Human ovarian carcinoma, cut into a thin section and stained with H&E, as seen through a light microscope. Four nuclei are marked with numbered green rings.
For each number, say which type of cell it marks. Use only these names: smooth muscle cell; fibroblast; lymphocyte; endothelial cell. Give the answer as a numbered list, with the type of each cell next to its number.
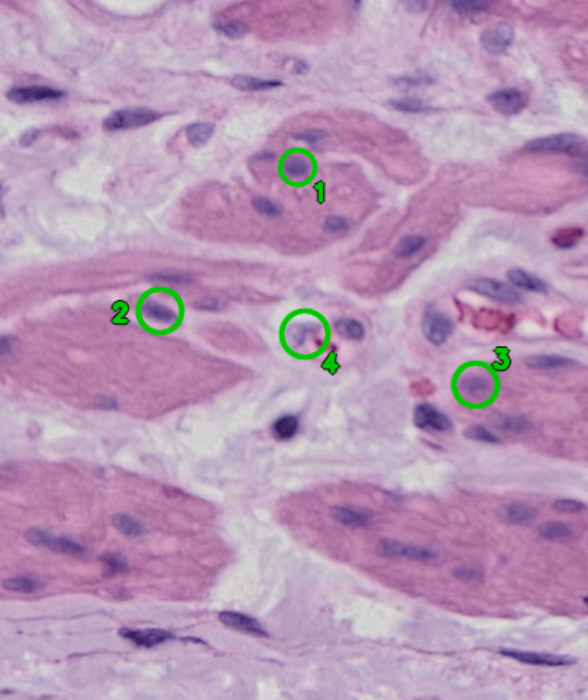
1. smooth muscle cell
2. smooth muscle cell
3. smooth muscle cell
4. endothelial cell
